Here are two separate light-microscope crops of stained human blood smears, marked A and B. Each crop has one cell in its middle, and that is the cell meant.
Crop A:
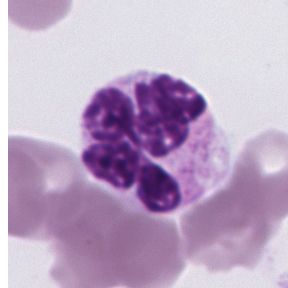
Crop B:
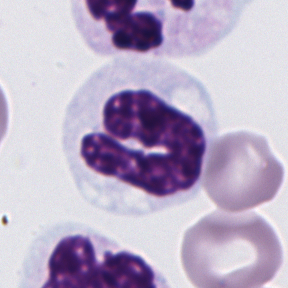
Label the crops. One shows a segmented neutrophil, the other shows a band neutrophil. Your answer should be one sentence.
Well, crop A is a segmented neutrophil, and crop B is a band neutrophil.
